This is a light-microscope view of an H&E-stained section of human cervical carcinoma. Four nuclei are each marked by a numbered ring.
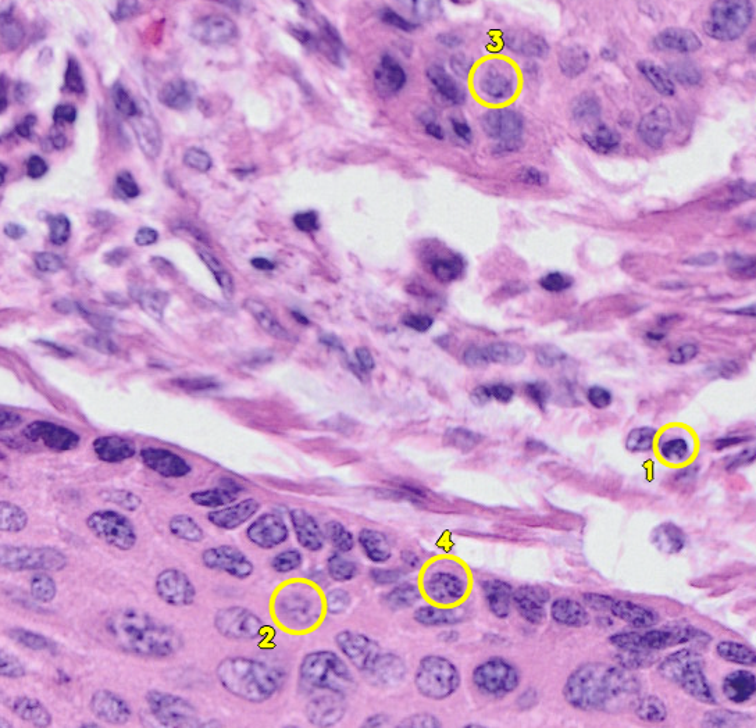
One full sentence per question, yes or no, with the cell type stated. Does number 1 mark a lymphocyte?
Yes, the marked cell number 1 is a lymphocyte.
